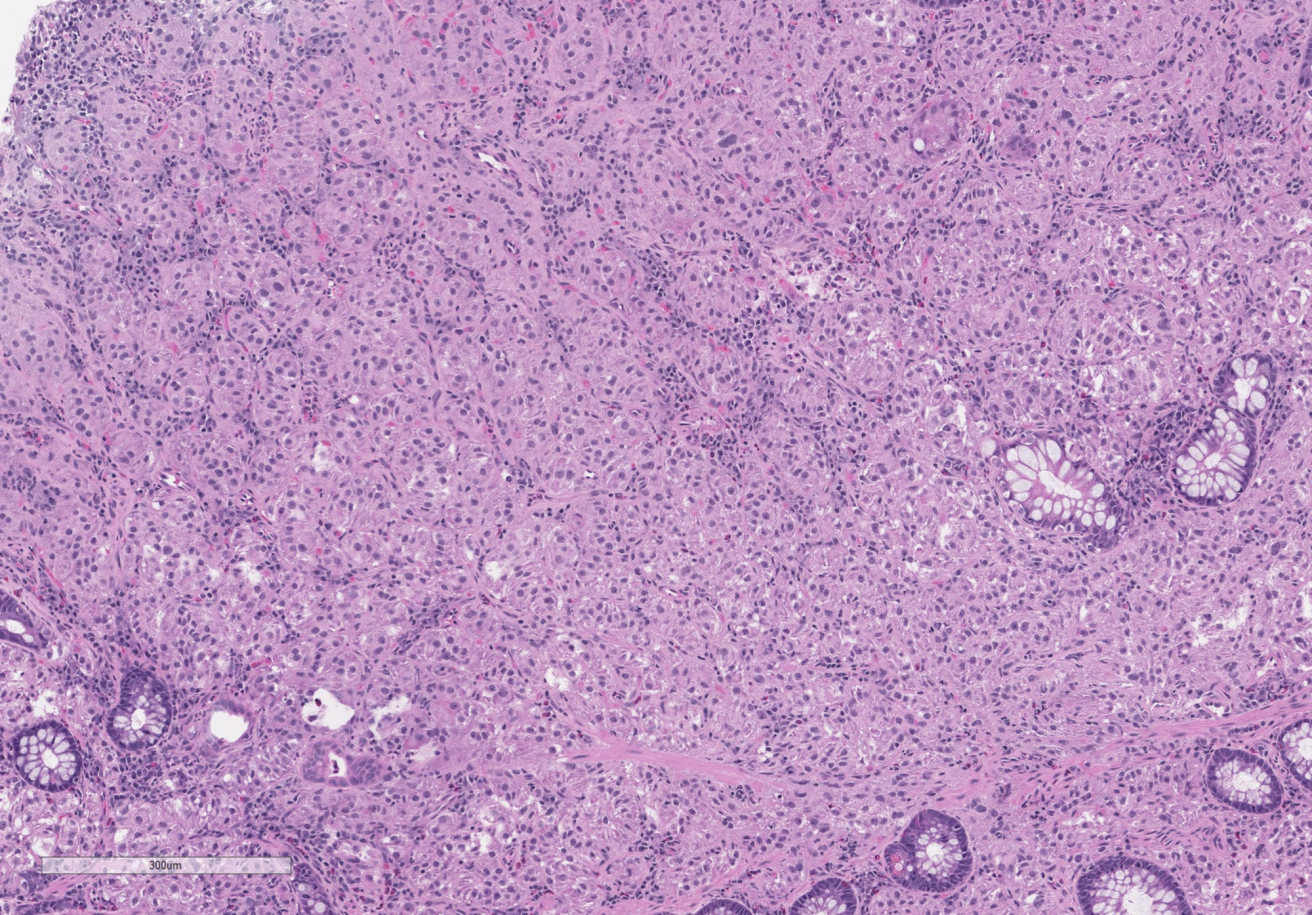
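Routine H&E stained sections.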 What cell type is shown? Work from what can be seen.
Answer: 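Sheets of polygonal cells with abundant cytoplasm and round to oval central nuclei. Cells lie in cohesive groups resembling epithelium.
Epithelioid cells.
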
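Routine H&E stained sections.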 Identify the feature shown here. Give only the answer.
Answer: Nested pattern.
